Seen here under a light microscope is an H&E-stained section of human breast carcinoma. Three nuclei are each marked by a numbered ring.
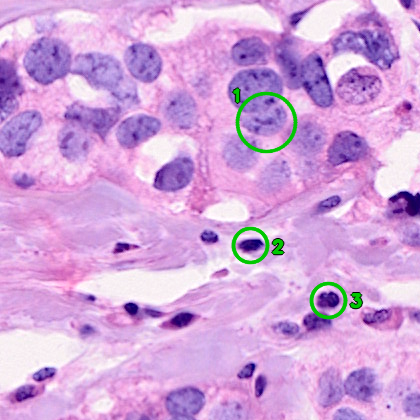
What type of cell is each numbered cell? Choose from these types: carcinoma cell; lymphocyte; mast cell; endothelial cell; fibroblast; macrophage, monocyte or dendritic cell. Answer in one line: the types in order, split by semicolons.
carcinoma cell; lymphocyte; lymphocyte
